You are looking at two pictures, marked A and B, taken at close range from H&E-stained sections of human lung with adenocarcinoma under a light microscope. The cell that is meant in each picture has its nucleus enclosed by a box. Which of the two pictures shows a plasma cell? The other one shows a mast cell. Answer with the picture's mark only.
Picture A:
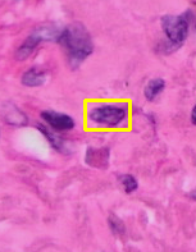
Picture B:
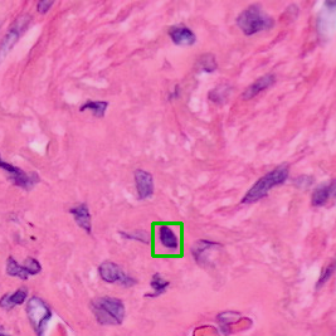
A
